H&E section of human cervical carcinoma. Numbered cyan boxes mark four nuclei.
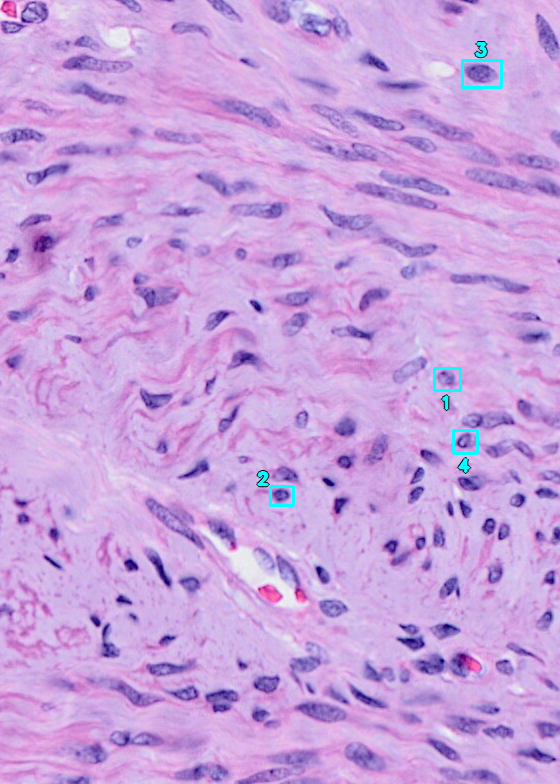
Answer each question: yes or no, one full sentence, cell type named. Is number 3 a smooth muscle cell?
No, the cell marked 3 is a fibroblast rather than a smooth muscle cell.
